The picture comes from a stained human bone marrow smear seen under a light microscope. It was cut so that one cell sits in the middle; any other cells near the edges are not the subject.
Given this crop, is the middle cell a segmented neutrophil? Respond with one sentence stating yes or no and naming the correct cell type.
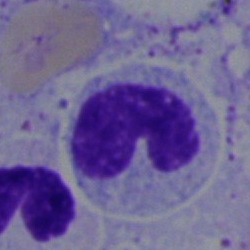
No, it is not a segmented neutrophil that sits at the centre but a band neutrophil.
